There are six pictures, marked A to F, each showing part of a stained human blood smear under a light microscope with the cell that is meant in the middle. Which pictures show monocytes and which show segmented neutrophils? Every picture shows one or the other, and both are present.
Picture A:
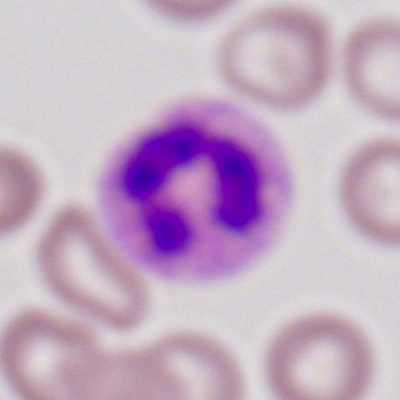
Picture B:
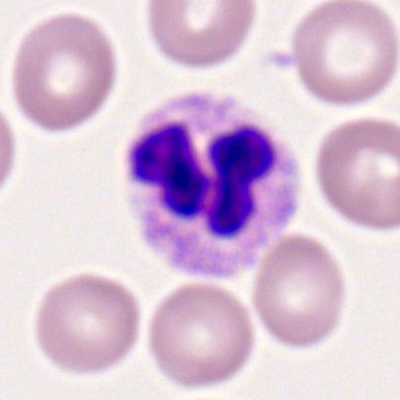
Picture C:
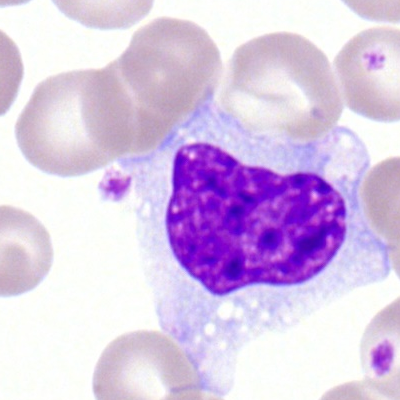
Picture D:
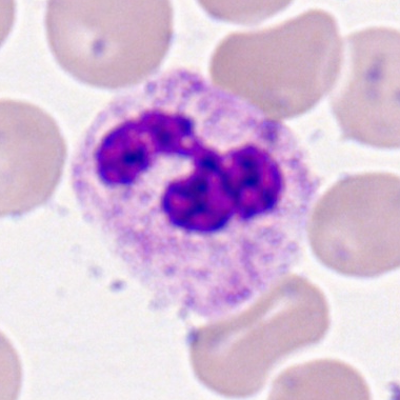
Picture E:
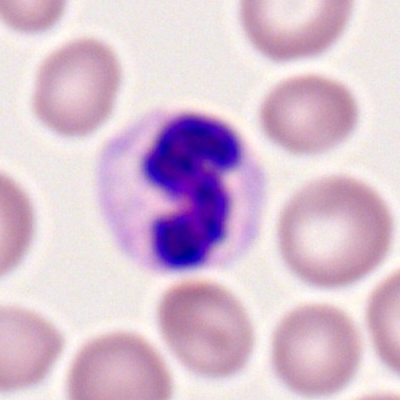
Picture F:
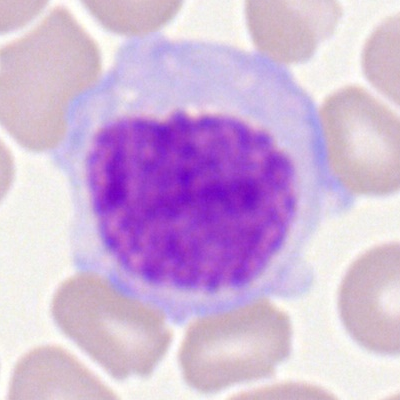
A: segmented neutrophil
B: segmented neutrophil
C: monocyte
D: segmented neutrophil
E: segmented neutrophil
F: monocyte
